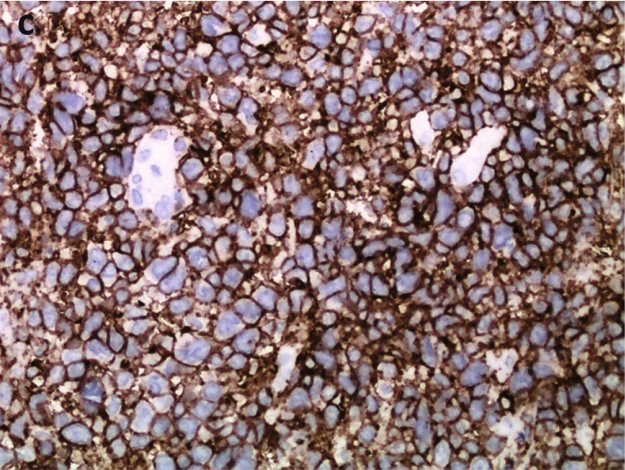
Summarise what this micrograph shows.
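The rings give the field a honeycomb look, with the cells packed tightly against one another. The nuclei are oval to irregular and vary in size. A few small vessel spaces stand out as pale gaps in the otherwise continuous brown network.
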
